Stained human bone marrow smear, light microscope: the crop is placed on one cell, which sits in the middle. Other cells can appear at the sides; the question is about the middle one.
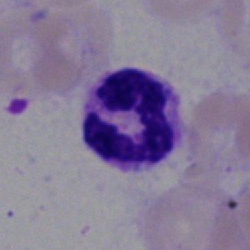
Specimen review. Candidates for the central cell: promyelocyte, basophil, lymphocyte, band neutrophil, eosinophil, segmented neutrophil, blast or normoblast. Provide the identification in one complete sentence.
The cell at the middle of the crop is recognized as a segmented neutrophil.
